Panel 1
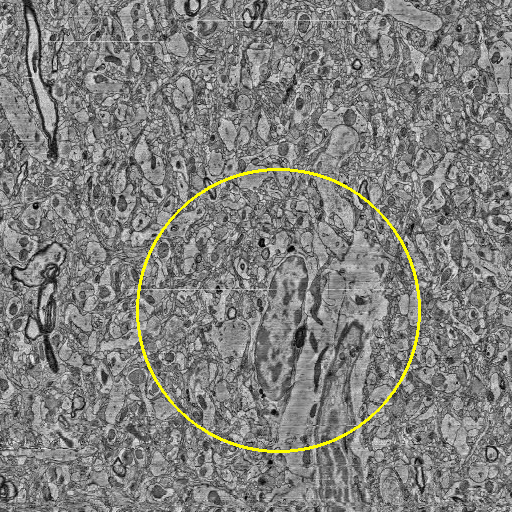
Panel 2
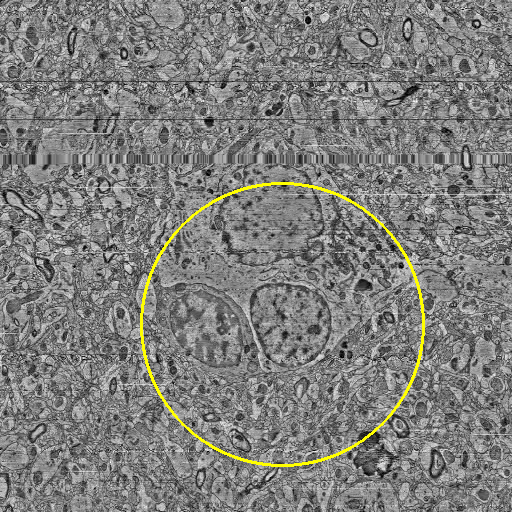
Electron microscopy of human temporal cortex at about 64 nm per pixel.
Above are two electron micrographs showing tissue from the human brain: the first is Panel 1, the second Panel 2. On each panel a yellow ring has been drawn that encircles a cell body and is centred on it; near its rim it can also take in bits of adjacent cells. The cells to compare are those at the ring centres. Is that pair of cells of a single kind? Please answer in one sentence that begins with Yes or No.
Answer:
Yes, the ring-centred cells of Panel 1 and Panel 2 belong to one kind.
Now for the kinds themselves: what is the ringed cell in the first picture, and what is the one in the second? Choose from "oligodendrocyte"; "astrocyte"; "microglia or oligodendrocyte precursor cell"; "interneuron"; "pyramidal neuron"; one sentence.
The ring centre holds a microglial cell or oligodendrocyte precursor cell in each of the two pictures.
